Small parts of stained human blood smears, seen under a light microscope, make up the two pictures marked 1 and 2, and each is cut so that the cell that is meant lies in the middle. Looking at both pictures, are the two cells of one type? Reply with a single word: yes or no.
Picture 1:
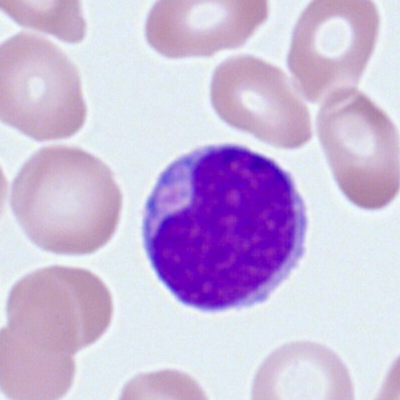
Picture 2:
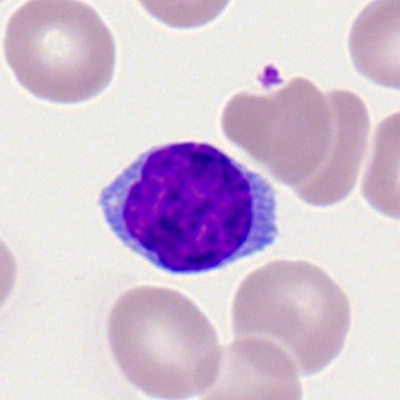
no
